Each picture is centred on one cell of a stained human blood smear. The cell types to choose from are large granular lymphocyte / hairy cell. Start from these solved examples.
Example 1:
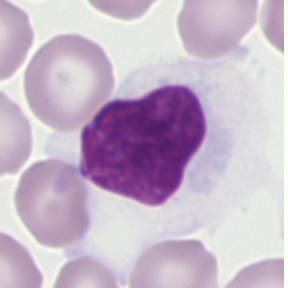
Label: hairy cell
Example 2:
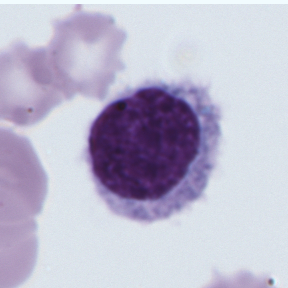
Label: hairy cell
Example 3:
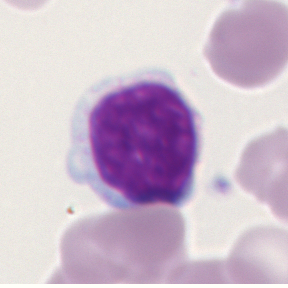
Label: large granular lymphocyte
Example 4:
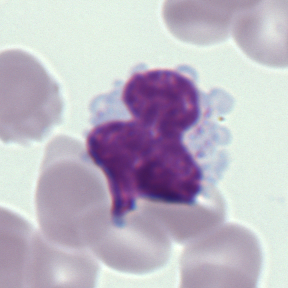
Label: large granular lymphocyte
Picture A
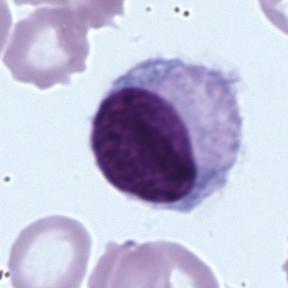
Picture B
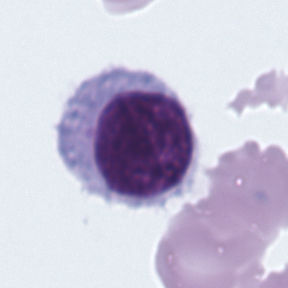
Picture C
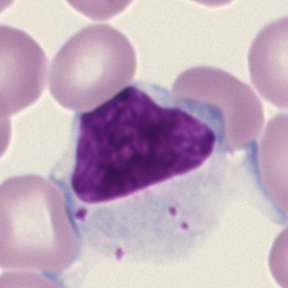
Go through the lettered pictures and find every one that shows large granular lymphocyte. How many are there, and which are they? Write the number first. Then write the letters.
1: C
